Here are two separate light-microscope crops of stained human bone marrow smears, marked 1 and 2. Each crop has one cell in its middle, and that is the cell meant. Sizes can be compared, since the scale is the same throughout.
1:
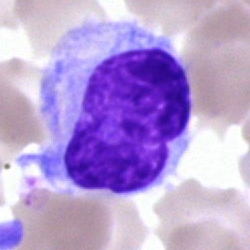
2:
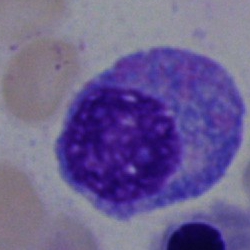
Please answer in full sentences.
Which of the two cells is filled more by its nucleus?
In crop 1 the nucleus takes up the larger part of its cell.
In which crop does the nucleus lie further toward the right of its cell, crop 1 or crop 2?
The nucleus in crop 1 lies further toward the right of its cell.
